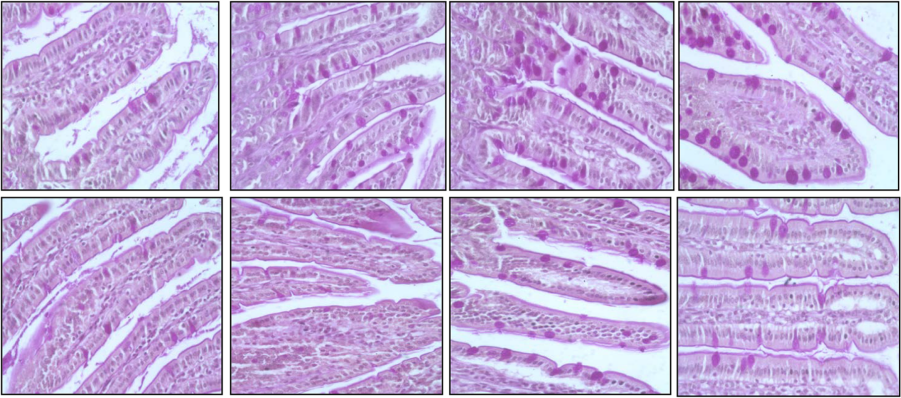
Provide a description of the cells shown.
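Small intestinal villi lined by a single layer of tall columnar epithelial cells, cut in longitudinal and oblique section in a grid of eight fields. Scattered among the pale pink columnar cells are round goblet cells whose contents stain deep magenta. The villus cores contain loosely arranged connective tissue with many nuclei, and clear lumen spaces separate adjacent villi. The number of magenta goblet cells differs between fields, being sparse in some and numerous in others.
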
